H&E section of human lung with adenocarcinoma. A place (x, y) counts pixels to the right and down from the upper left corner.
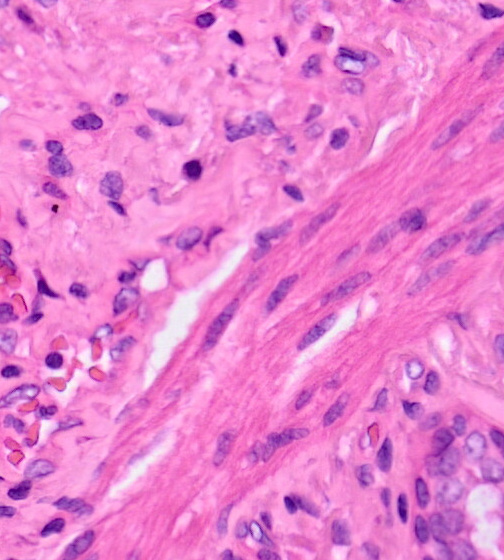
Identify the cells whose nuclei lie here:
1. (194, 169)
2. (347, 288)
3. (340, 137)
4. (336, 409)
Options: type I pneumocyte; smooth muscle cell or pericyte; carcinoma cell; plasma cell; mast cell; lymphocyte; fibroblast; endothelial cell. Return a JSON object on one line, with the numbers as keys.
{"1": "plasma cell", "2": "smooth muscle cell or pericyte", "3": "lymphocyte", "4": "smooth muscle cell or pericyte"}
